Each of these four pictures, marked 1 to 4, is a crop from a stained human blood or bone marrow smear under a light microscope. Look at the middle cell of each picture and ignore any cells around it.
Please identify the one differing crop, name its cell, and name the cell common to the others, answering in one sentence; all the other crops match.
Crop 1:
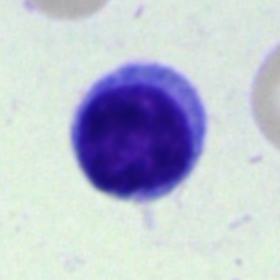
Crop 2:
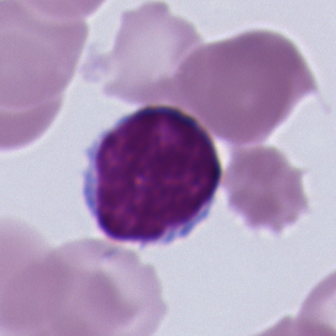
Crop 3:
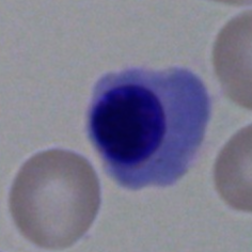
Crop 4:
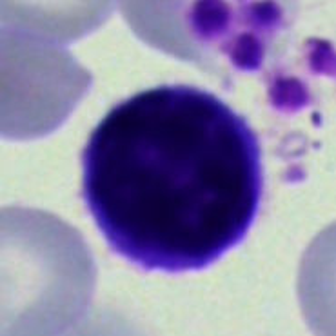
Crop 3 is the exception here: it is an erythroblast, and the others are lymphocytes.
